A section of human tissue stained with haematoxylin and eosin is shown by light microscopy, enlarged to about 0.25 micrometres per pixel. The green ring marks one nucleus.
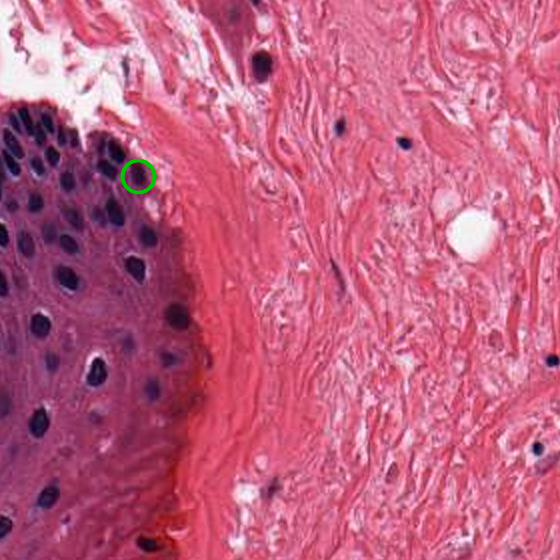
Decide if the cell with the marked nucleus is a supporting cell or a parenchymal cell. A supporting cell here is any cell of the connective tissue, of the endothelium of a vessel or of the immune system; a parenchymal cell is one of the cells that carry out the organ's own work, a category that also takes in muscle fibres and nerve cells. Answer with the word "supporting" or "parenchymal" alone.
parenchymal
